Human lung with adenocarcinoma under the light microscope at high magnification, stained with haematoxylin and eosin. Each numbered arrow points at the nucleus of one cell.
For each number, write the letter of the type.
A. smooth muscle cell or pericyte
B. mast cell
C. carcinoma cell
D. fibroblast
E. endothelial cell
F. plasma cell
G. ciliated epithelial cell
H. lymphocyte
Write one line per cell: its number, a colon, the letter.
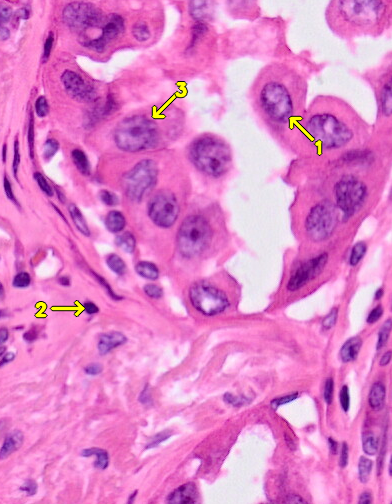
1: C
2: H
3: C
